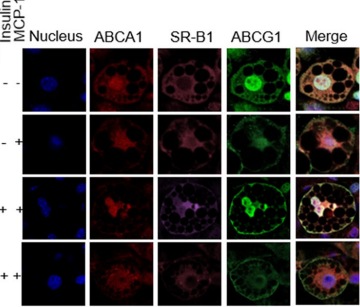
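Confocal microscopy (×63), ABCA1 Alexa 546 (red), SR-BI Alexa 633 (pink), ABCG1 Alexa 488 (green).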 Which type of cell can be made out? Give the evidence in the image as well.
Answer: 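The cytoplasm of the cells is filled with many round, clear, unstained droplets of varying size. The nucleus lies to one side, between the droplets. The fluorescent labelling outlines the cell border and the rims of the droplets.
Adipocytes.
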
